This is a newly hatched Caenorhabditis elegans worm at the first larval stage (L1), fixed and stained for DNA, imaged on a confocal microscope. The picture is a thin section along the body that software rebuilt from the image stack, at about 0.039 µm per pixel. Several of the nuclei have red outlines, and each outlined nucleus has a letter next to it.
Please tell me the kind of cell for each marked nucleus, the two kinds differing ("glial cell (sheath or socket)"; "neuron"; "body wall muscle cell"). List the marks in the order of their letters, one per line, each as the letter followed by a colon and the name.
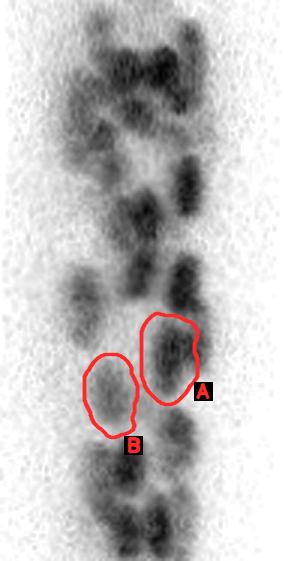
A: glial cell (sheath or socket)
B: body wall muscle cell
